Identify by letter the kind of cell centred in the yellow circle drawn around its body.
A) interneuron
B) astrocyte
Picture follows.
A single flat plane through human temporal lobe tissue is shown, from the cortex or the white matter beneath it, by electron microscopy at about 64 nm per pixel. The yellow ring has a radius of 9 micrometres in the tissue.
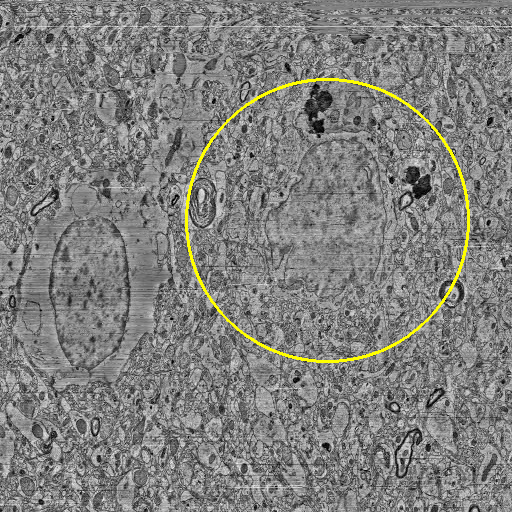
A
